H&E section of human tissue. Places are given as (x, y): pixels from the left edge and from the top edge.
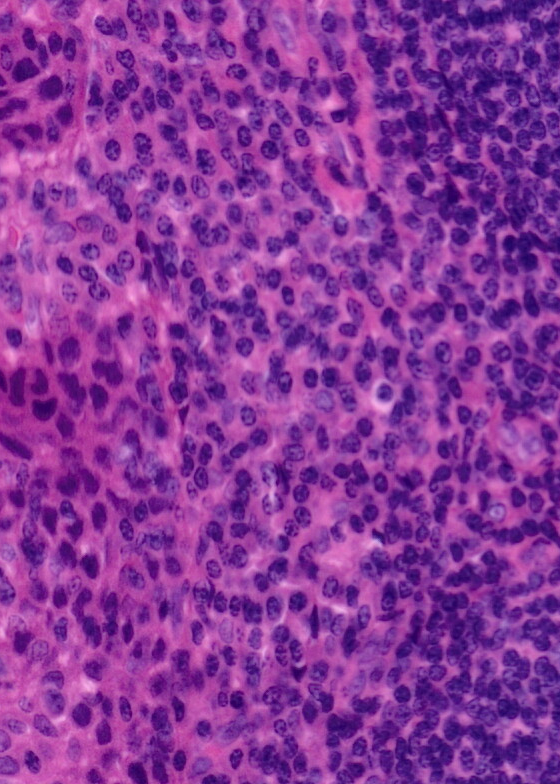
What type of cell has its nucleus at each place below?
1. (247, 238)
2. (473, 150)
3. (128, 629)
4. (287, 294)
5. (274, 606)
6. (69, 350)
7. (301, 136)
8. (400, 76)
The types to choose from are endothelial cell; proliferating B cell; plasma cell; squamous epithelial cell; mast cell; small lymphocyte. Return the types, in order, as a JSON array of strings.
["plasma cell", "small lymphocyte", "squamous epithelial cell", "plasma cell", "plasma cell", "squamous epithelial cell", "plasma cell", "small lymphocyte"]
